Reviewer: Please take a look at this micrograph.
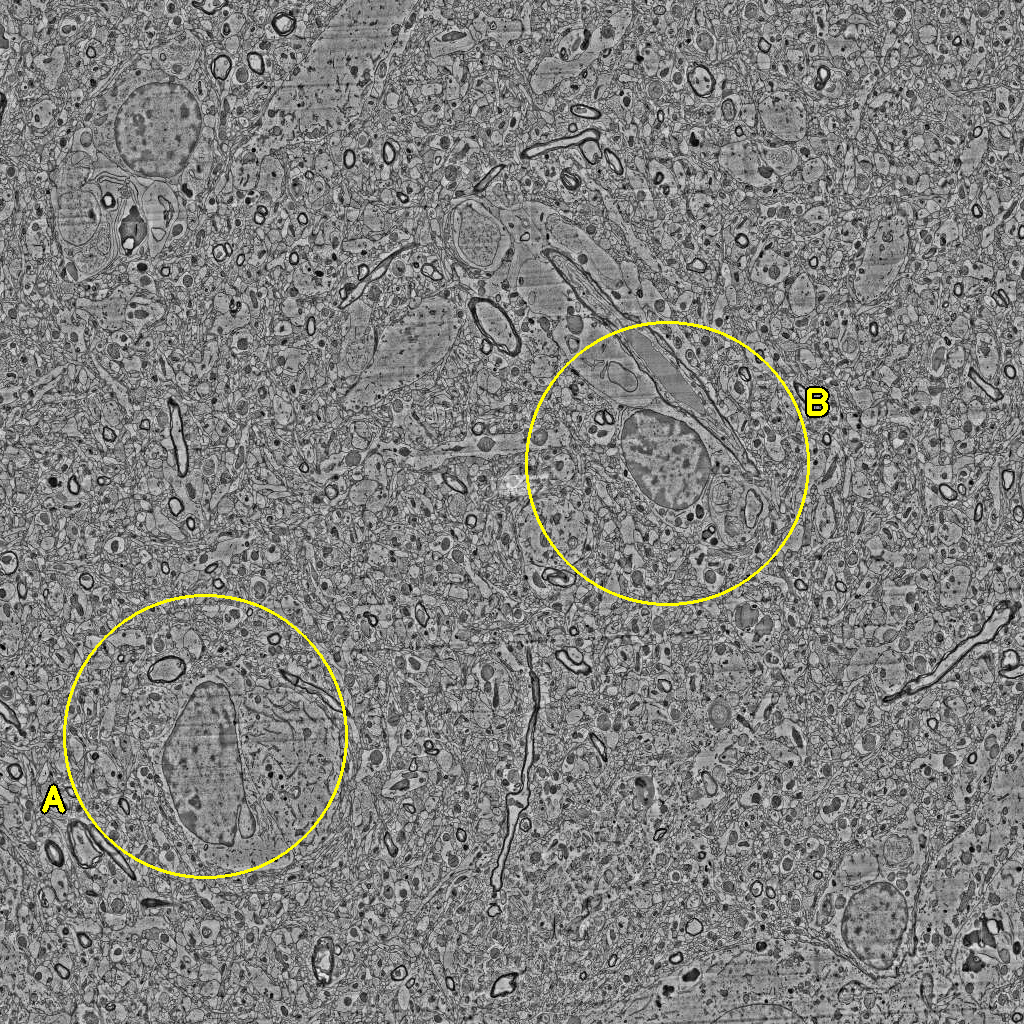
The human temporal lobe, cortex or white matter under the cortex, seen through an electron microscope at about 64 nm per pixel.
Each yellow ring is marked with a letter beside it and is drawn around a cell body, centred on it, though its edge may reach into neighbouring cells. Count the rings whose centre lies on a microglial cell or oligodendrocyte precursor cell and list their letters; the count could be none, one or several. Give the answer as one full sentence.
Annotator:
The rings centred on a microglial cell or oligodendrocyte precursor cell apiece number two, and they bear the letters A and B.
